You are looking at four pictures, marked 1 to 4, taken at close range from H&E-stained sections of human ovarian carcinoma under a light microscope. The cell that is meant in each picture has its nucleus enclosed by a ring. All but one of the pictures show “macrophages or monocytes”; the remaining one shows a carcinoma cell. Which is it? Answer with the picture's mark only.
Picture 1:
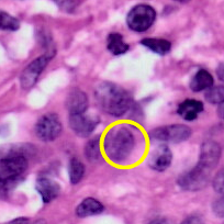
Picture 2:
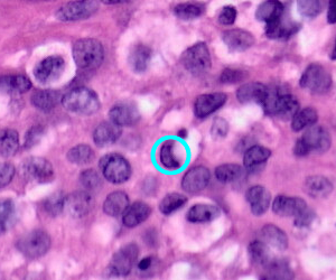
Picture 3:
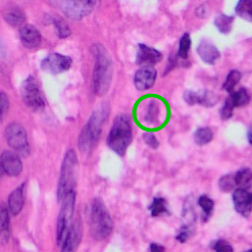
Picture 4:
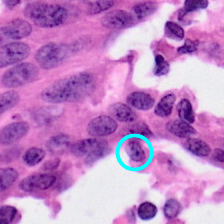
1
